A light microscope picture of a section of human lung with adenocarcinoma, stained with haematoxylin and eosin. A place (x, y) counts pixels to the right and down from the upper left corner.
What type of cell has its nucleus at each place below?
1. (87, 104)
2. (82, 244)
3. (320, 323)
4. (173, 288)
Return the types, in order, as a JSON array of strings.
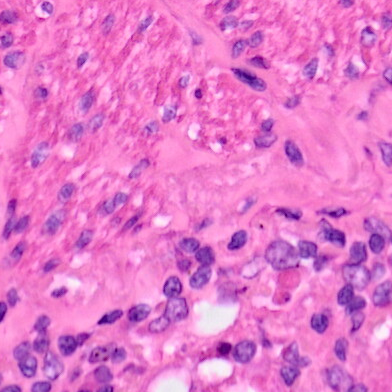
["smooth muscle cell or pericyte", "smooth muscle cell or pericyte", "lymphocyte", "lymphocyte"]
